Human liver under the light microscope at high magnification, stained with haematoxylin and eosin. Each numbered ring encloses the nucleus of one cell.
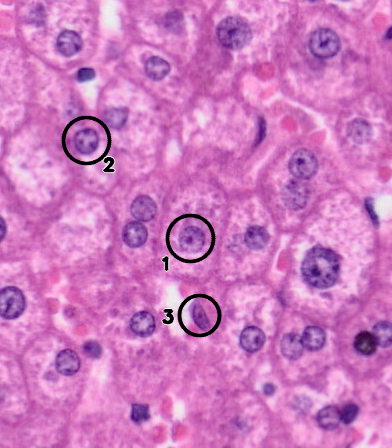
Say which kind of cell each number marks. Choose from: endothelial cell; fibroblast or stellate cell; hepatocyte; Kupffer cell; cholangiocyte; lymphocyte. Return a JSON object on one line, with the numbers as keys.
{"1": "hepatocyte", "2": "hepatocyte", "3": "Kupffer cell"}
